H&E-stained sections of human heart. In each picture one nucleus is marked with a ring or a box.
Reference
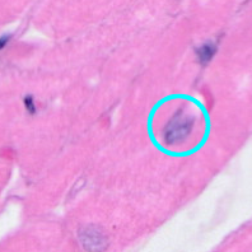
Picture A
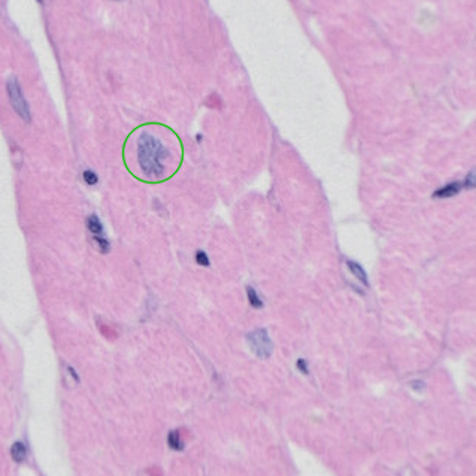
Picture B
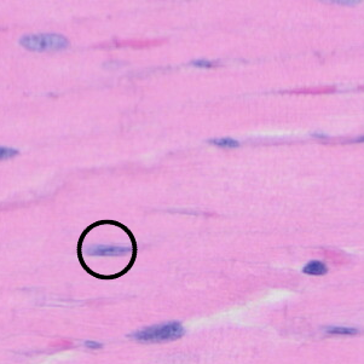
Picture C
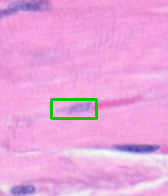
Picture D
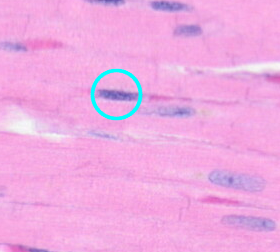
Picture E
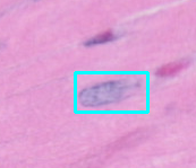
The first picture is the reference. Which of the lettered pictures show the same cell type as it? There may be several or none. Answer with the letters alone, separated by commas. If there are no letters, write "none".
A, E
